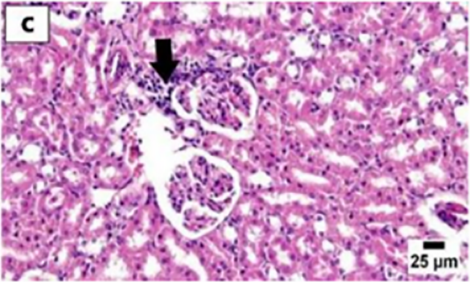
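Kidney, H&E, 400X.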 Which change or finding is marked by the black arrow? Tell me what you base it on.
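A small cluster of dark, round nuclei lies beside a glomerulus at the arrow. The cluster is small, and the surrounding tubules are closely packed. So: inflammatory cells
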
